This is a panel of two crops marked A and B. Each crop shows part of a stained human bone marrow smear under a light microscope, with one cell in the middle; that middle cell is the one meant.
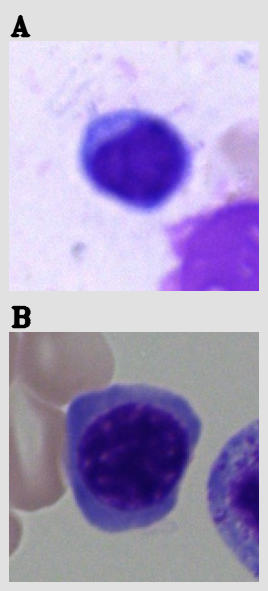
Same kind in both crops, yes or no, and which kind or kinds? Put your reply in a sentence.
No, crop B shows an erythroblast, and crop A shows a lymphocyte.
